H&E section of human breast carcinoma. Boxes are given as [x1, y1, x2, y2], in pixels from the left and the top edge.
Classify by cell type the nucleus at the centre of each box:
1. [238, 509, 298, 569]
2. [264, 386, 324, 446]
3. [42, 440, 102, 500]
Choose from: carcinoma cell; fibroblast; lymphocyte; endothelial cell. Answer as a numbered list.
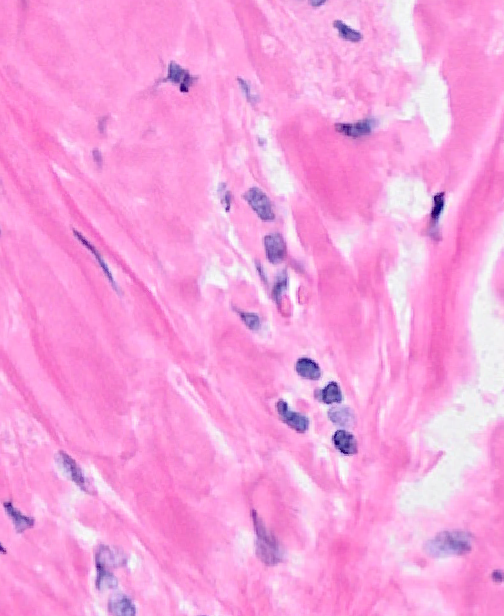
1. fibroblast
2. lymphocyte
3. fibroblast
